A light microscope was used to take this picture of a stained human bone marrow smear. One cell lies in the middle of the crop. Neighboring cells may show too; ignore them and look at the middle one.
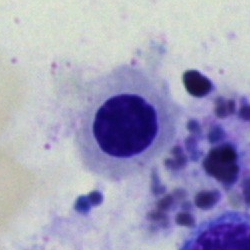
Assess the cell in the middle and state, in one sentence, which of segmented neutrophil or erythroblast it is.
Occupying the centre of the crop is an erythroblast.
